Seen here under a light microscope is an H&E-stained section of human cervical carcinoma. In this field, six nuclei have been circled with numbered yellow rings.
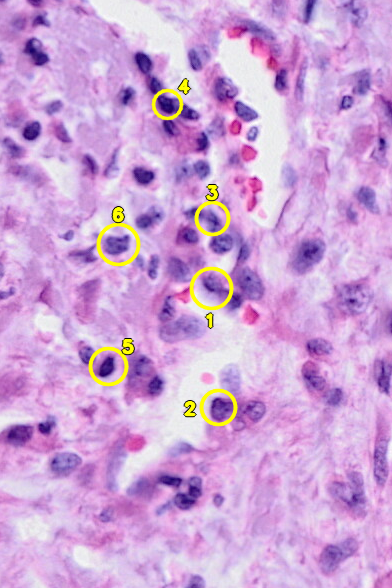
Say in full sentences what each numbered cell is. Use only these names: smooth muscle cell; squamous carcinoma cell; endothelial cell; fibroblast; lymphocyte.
Cells 1 and 2 are endothelial cells. Cells 3, 4, 5 and 6 are lymphocytes.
